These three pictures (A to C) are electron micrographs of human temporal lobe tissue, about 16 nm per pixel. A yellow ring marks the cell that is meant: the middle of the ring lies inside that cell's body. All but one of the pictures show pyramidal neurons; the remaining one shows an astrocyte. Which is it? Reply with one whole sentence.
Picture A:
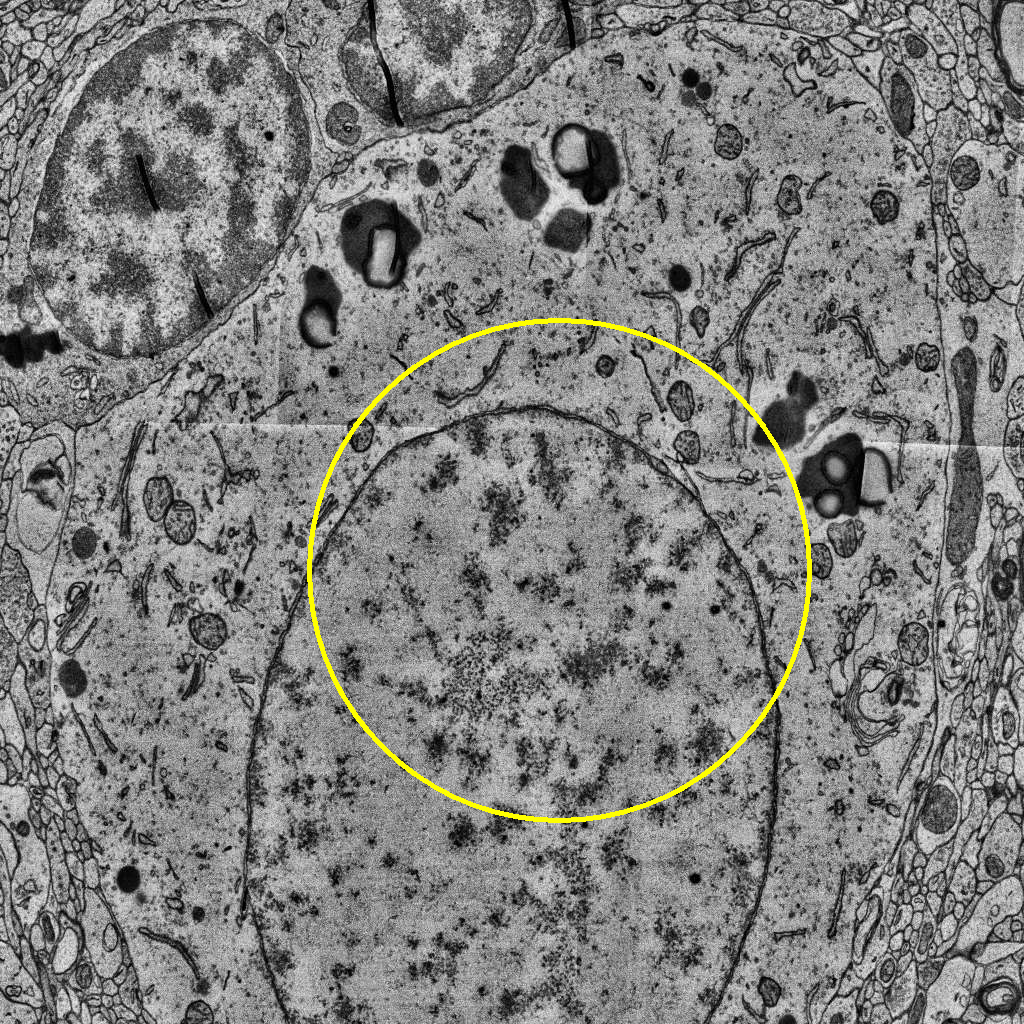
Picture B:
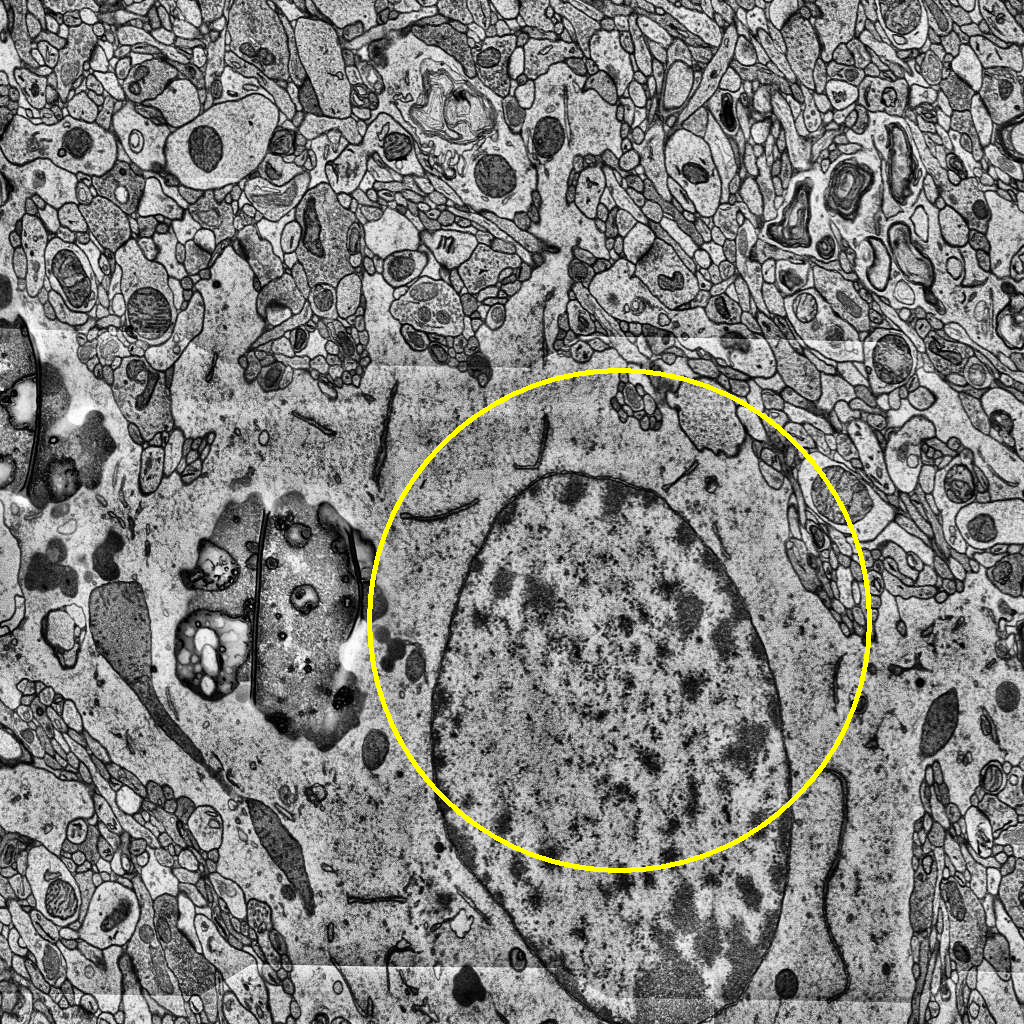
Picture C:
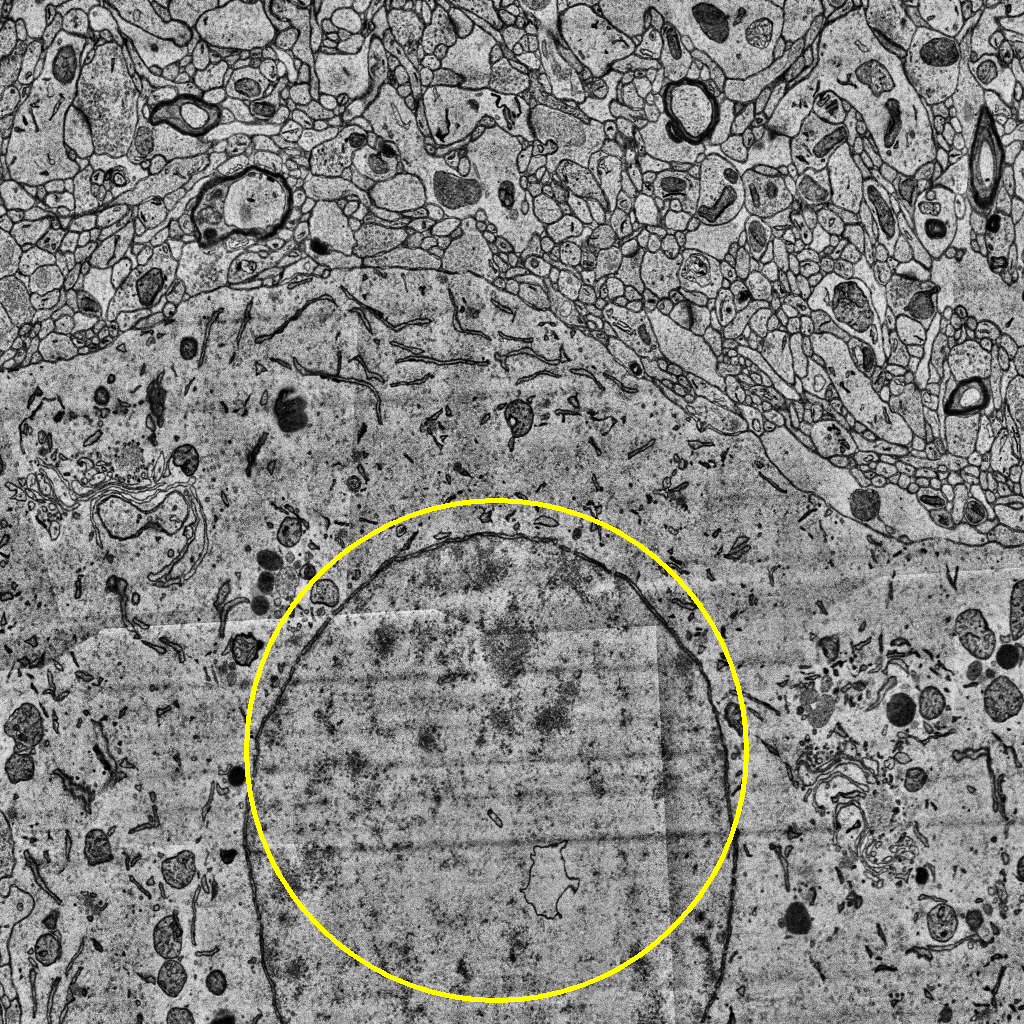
The astrocyte is the one in picture B.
